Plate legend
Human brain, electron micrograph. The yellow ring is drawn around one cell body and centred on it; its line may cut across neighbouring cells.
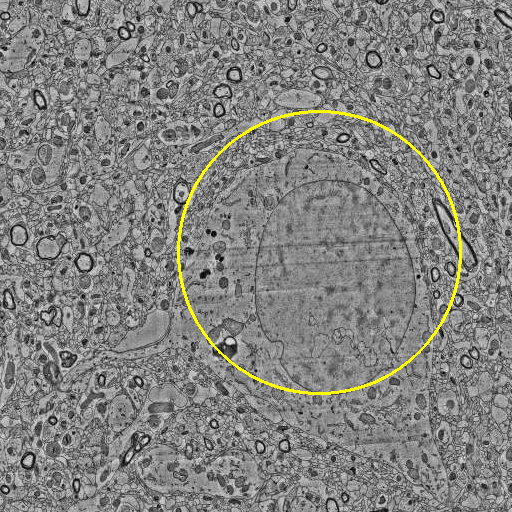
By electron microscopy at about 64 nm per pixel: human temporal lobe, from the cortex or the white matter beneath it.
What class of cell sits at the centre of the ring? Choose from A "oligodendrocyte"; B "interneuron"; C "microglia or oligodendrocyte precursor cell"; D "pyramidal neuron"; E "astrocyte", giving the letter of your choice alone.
D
